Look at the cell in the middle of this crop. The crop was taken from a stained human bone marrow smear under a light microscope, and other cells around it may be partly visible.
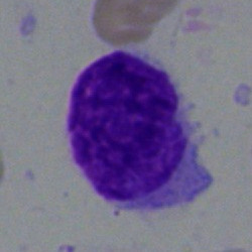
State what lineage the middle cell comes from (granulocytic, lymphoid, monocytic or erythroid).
lymphoid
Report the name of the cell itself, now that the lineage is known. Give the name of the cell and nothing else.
hairy cell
